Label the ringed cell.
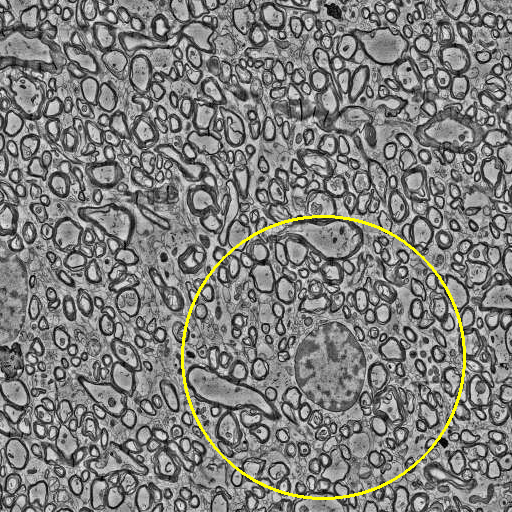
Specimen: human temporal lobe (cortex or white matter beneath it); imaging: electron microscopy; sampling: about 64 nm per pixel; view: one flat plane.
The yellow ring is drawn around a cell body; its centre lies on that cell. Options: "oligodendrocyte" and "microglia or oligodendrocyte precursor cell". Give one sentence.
The ringed cell is a microglial cell or oligodendrocyte precursor cell.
